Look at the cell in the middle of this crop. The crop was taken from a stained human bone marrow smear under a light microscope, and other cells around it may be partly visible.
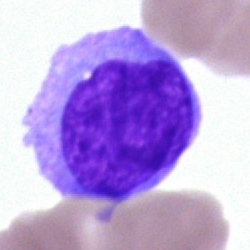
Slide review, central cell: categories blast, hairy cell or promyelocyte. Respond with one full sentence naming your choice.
The cell in the exact centre of the crop is a blast.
